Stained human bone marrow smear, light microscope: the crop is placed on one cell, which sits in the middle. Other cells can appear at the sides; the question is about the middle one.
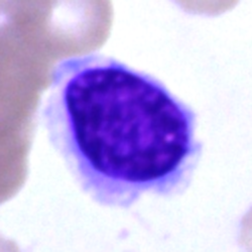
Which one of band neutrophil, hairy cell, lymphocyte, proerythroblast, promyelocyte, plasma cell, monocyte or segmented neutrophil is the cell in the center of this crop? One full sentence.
This crop has a hairy cell at its centre.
